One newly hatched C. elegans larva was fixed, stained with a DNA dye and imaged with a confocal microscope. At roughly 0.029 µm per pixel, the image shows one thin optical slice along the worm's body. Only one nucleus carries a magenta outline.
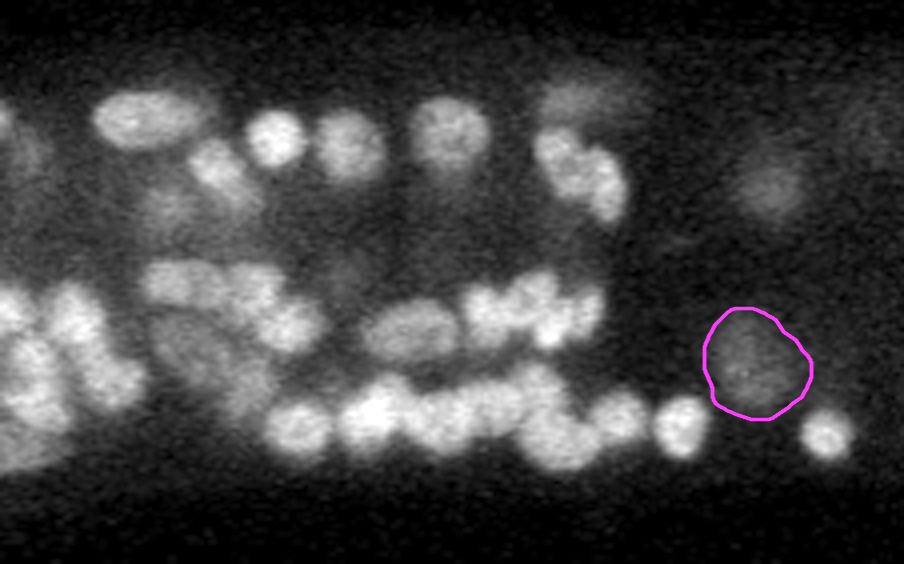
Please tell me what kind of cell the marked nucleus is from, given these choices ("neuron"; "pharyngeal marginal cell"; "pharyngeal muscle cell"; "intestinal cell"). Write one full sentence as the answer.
What is marked is the nucleus of an intestinal cell.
